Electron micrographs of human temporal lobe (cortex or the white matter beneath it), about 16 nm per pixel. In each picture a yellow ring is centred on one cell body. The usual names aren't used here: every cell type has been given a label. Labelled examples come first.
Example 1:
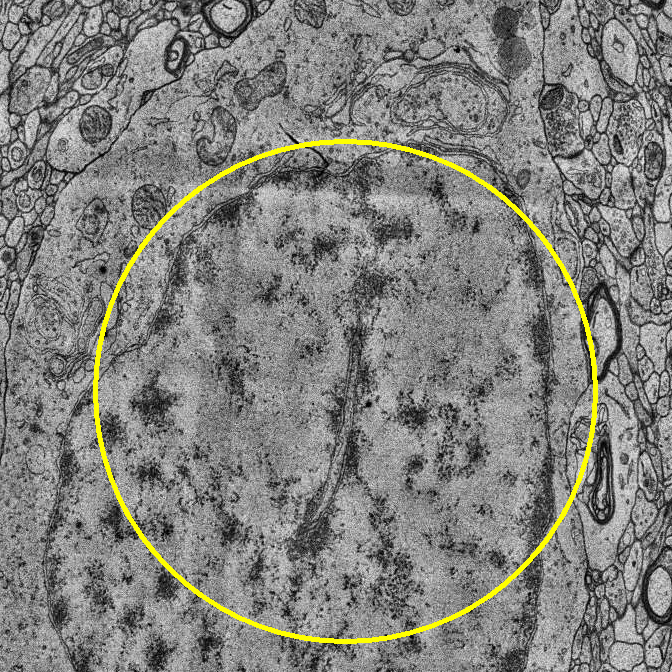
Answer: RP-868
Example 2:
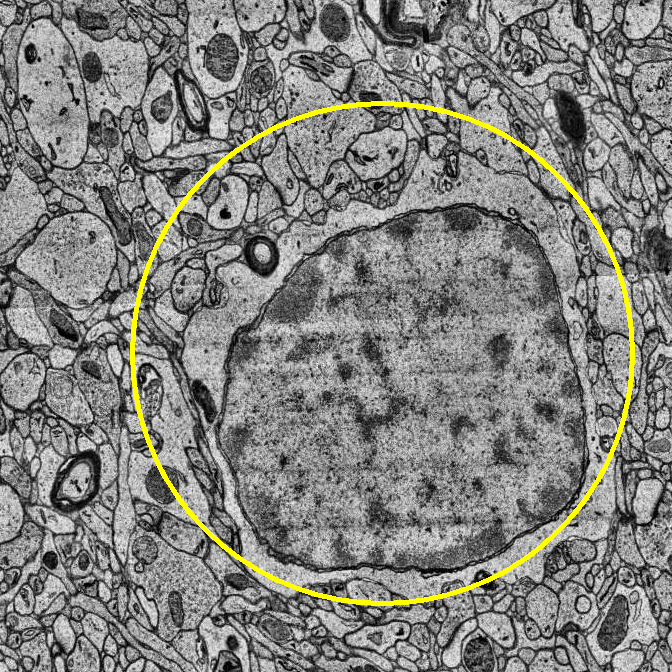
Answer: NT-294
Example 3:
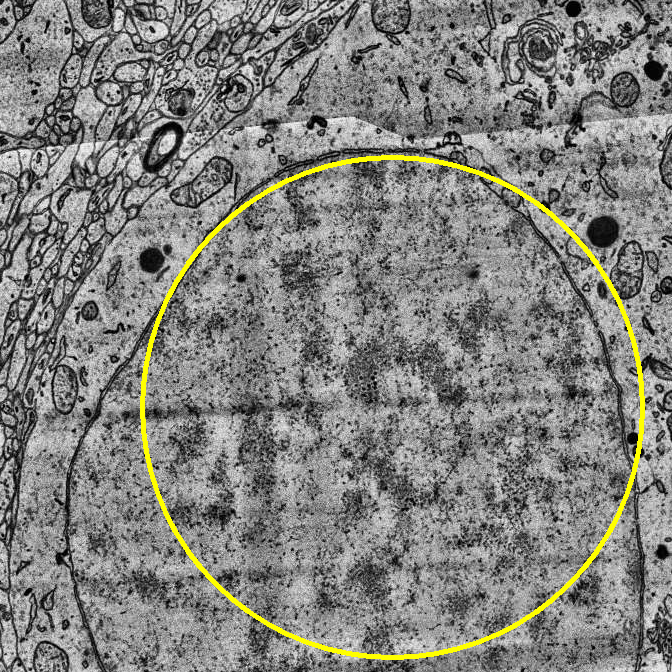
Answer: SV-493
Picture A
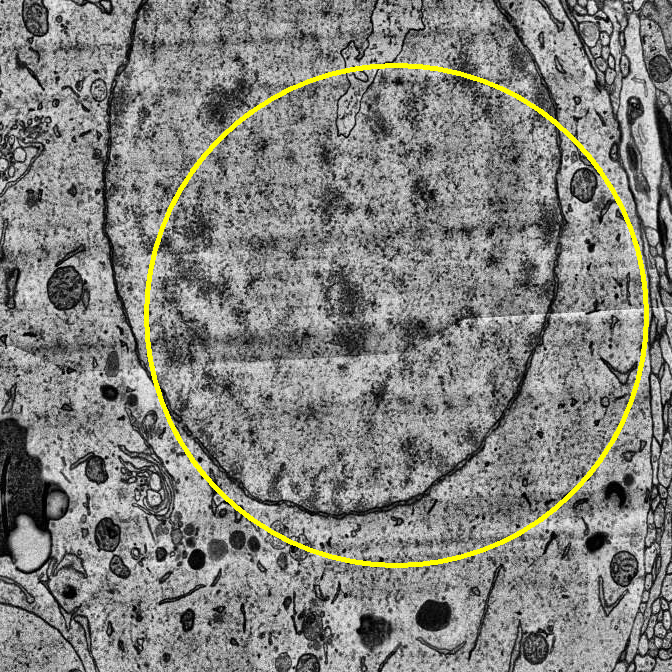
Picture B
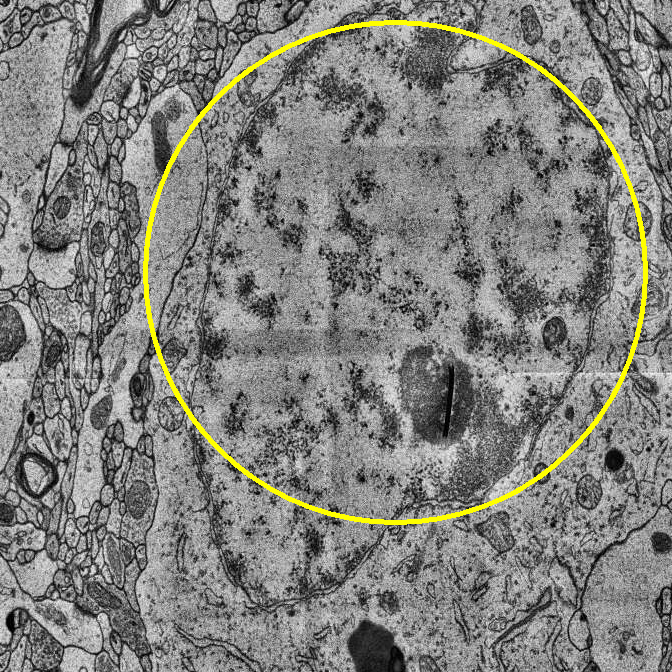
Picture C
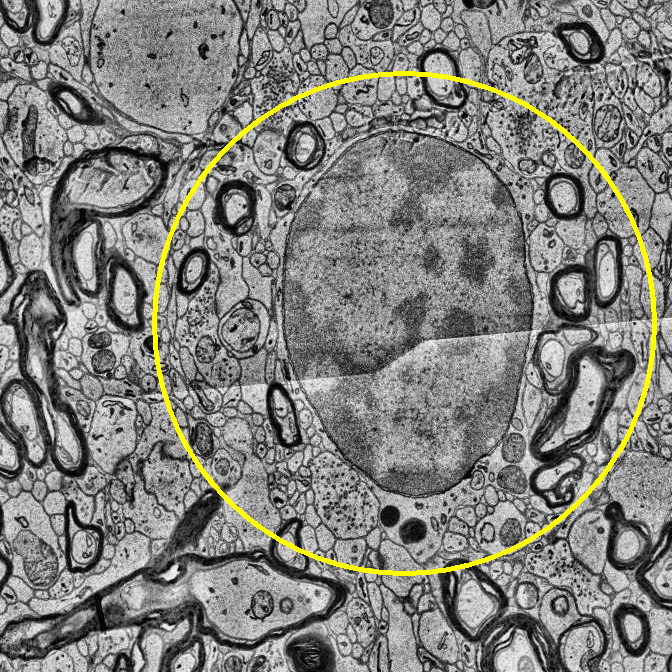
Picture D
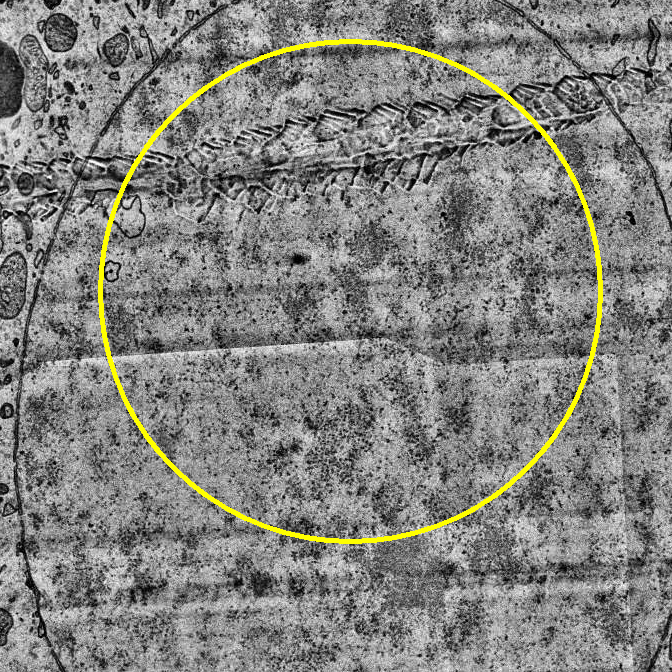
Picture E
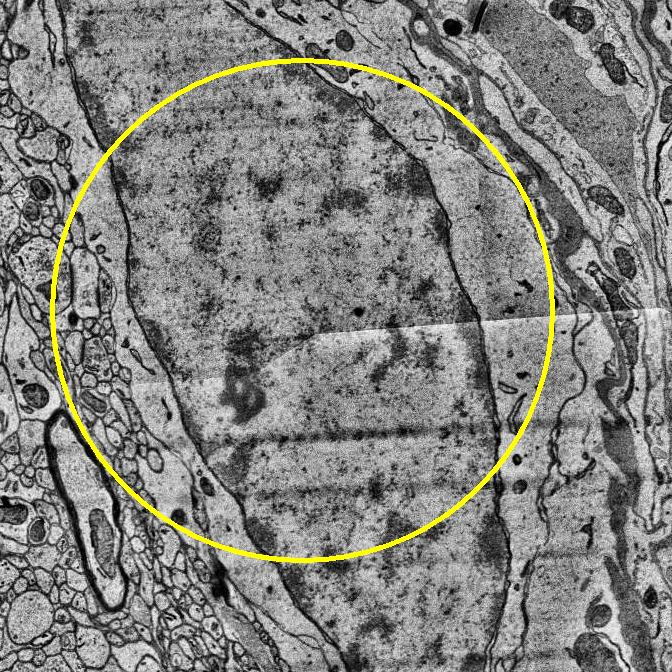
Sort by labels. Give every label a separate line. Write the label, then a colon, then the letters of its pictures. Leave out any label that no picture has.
RP-868: B
NT-294: C, E
SV-493: A, D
